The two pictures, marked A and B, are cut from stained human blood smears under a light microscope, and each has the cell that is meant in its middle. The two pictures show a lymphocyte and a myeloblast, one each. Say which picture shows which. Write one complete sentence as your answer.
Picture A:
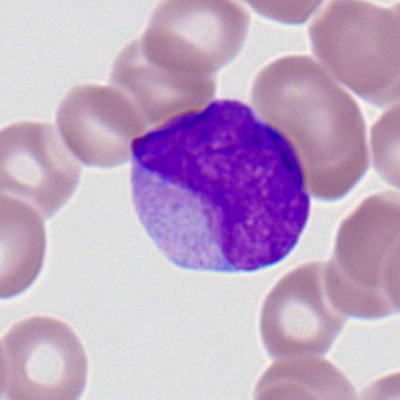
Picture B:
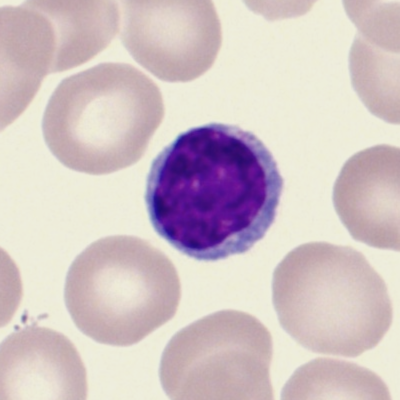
In picture A the cell is a myeloblast; in picture B, a lymphocyte.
